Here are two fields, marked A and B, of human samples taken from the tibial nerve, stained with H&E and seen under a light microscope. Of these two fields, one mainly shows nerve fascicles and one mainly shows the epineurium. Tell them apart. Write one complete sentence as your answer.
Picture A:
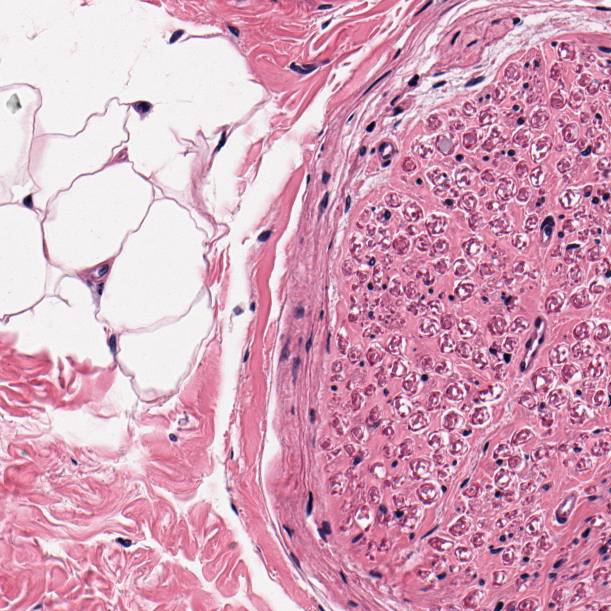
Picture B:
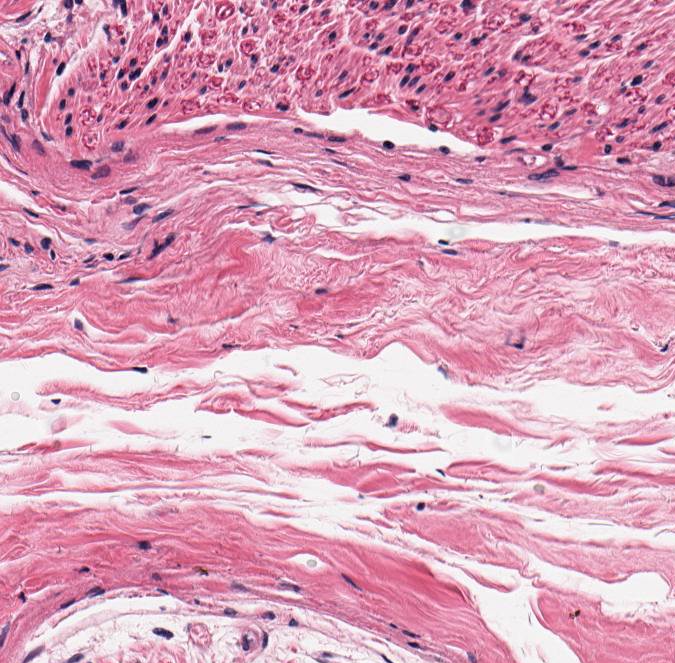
Picture A mainly shows nerve fascicles; picture B mainly shows the epineurium.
